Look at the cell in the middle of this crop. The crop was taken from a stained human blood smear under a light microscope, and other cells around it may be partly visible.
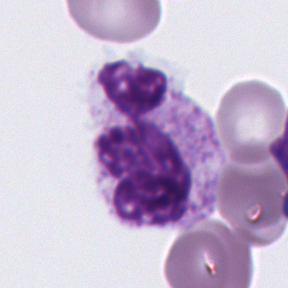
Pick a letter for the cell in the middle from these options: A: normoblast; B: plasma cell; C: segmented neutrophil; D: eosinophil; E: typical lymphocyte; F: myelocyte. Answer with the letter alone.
C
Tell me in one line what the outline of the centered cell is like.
The cell outline lacks smoothness, being ragged or extended into projections.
